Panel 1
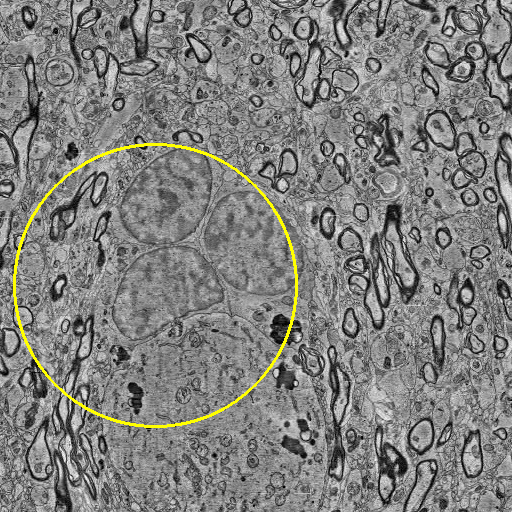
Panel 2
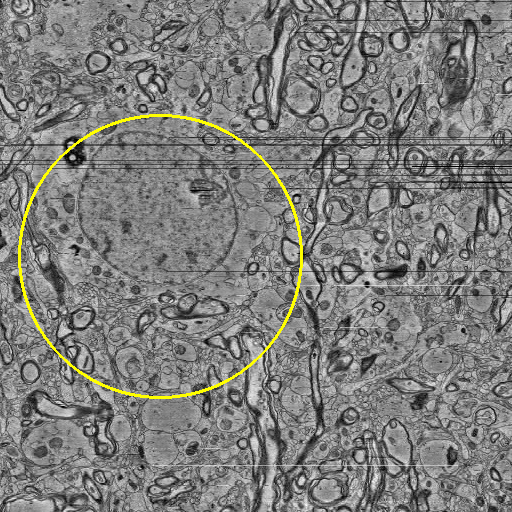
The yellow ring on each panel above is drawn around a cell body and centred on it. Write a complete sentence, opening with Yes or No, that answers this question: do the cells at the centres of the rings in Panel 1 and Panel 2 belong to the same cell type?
No, the two cells belong to two cell types.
